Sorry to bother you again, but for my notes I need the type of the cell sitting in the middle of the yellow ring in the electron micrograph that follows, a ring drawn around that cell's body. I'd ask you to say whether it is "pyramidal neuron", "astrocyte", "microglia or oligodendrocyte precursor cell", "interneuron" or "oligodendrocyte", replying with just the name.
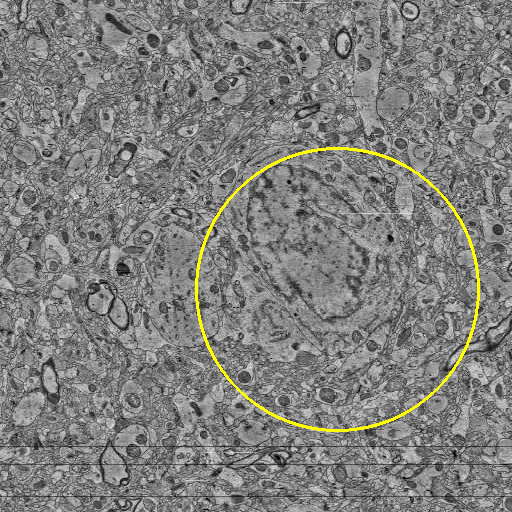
interneuron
